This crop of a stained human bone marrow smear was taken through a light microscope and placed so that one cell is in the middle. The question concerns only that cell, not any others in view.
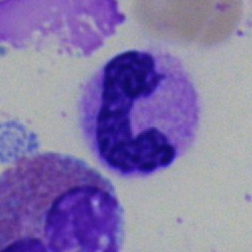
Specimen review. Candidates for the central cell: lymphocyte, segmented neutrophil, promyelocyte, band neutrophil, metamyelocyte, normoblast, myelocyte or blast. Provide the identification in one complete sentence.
Classification of the middle cell gives a segmented neutrophil.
